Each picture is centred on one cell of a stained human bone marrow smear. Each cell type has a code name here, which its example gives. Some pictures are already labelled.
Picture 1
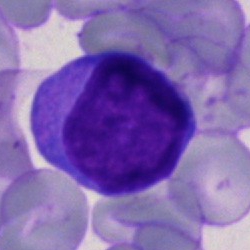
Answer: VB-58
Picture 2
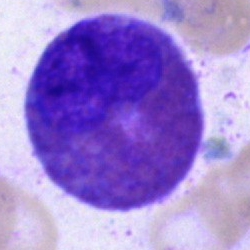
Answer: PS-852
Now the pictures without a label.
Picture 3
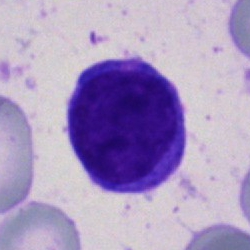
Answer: VB-58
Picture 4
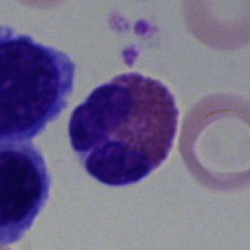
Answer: PS-852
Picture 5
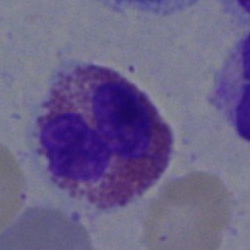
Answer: PS-852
